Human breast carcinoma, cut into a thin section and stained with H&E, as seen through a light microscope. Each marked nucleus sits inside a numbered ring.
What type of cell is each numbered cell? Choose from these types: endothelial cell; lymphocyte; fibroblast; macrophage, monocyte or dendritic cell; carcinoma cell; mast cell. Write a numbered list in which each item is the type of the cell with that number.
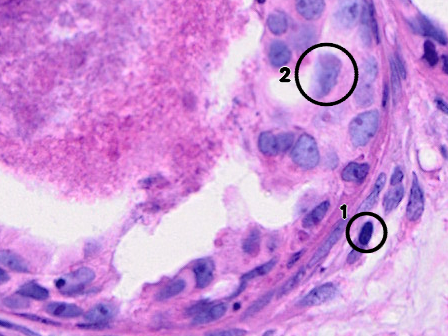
1. lymphocyte
2. carcinoma cell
